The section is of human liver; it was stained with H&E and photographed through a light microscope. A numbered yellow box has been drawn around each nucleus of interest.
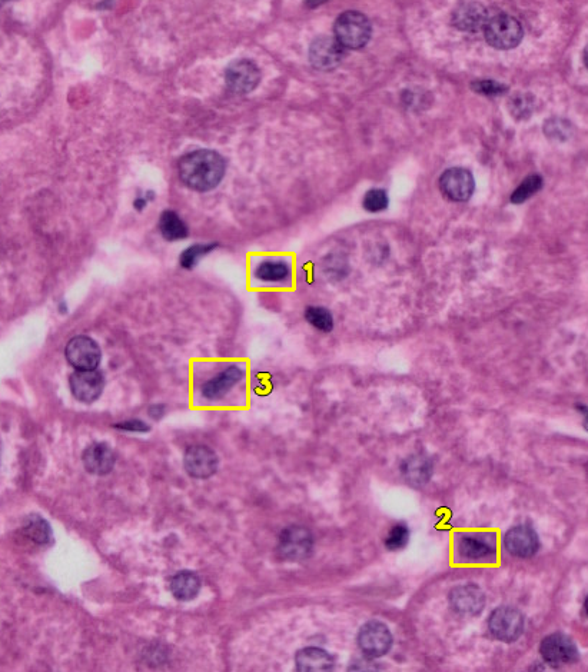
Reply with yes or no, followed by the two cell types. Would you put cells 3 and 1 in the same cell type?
No, cell 3 is a fibroblast or stellate cell and cell 1 is a lymphocyte.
